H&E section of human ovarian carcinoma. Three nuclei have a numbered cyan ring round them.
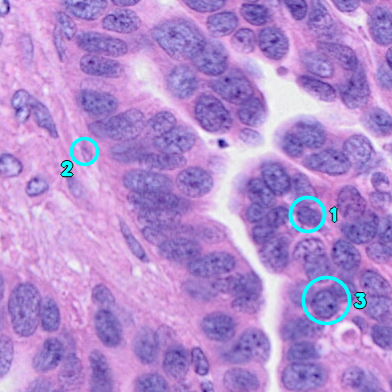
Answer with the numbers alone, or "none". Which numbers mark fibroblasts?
2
